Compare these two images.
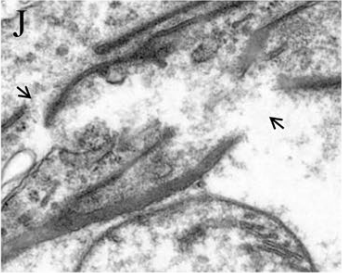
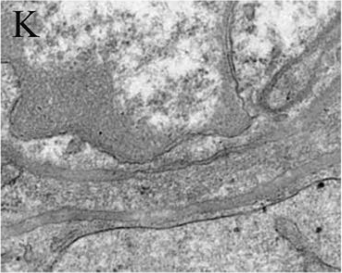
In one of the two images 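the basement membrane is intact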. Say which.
the second image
